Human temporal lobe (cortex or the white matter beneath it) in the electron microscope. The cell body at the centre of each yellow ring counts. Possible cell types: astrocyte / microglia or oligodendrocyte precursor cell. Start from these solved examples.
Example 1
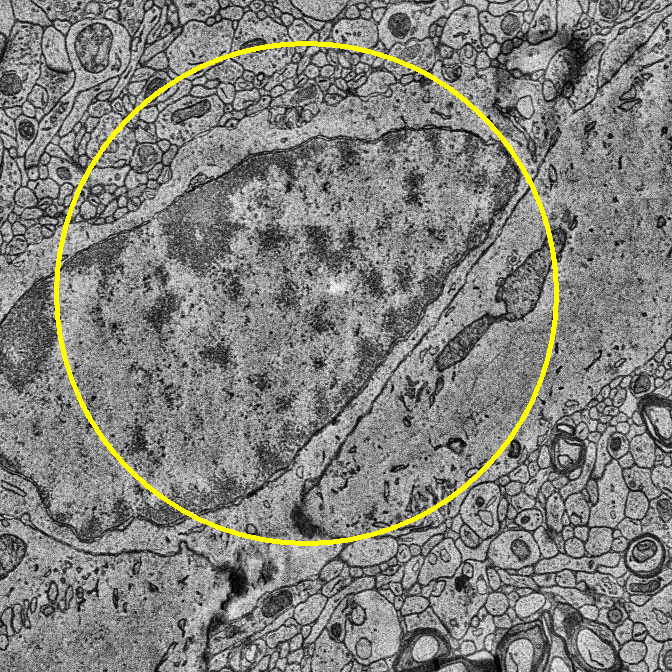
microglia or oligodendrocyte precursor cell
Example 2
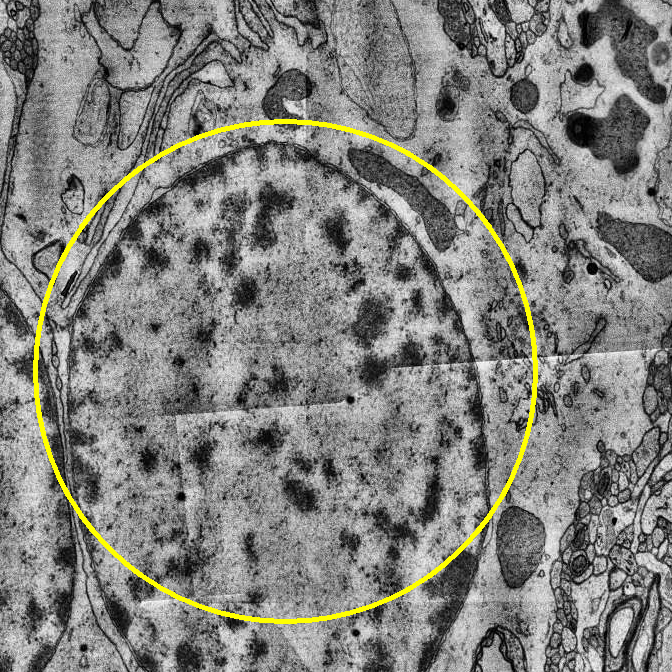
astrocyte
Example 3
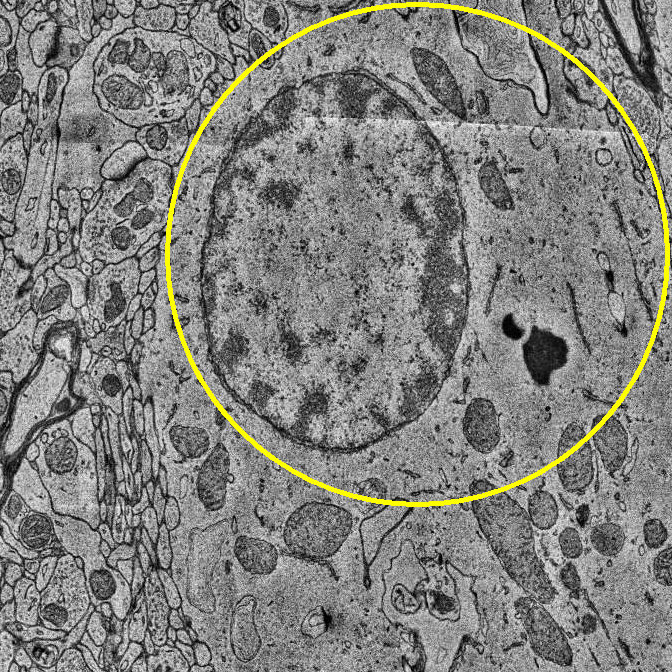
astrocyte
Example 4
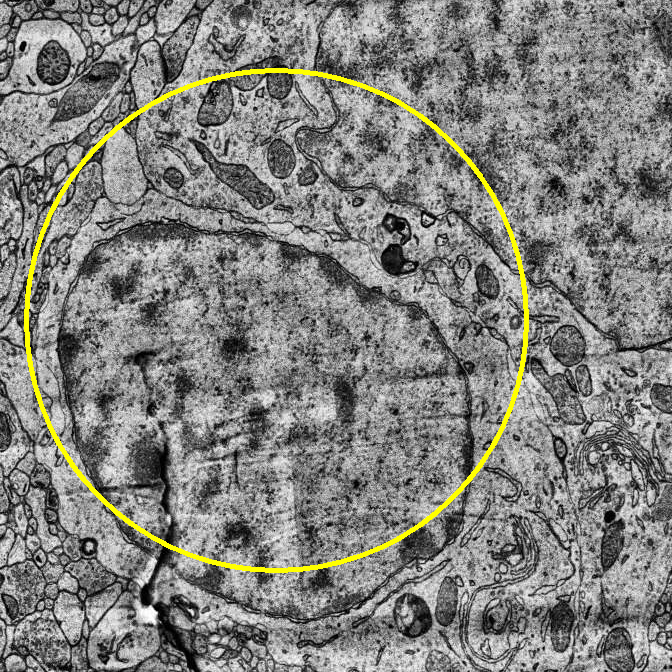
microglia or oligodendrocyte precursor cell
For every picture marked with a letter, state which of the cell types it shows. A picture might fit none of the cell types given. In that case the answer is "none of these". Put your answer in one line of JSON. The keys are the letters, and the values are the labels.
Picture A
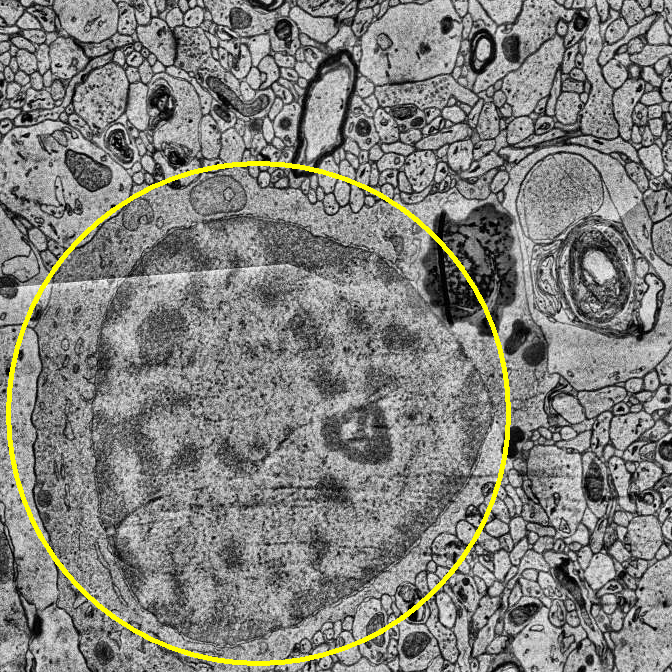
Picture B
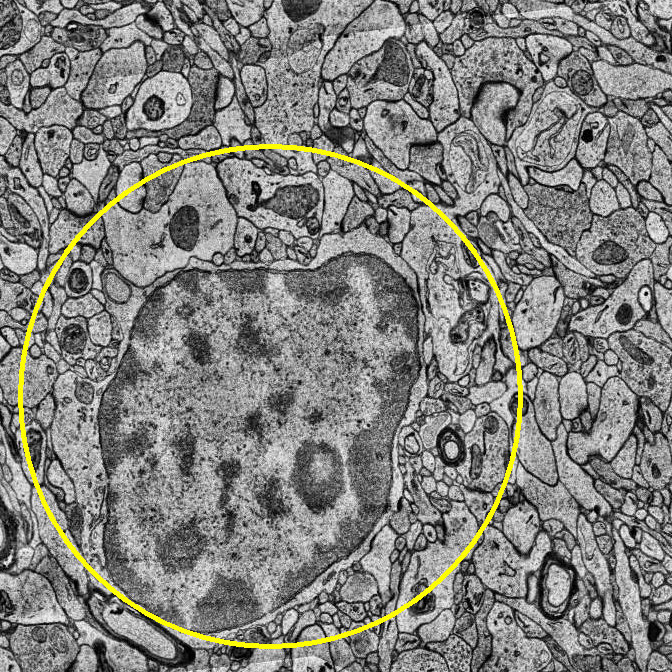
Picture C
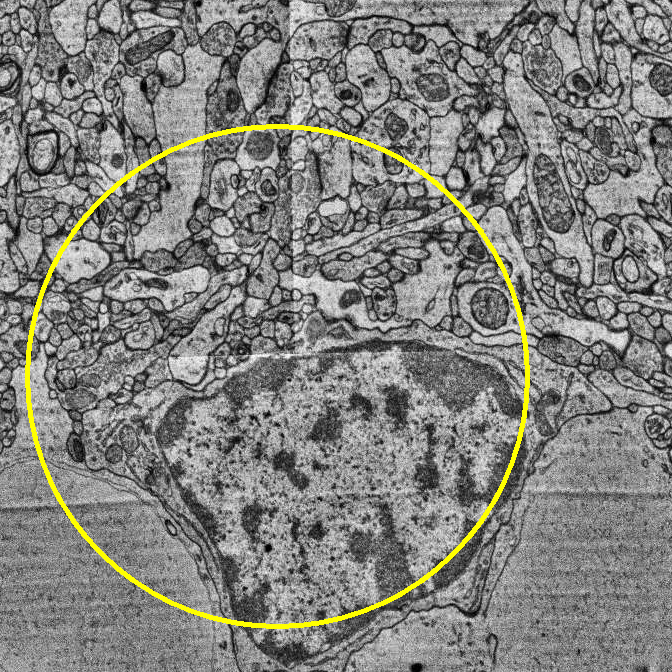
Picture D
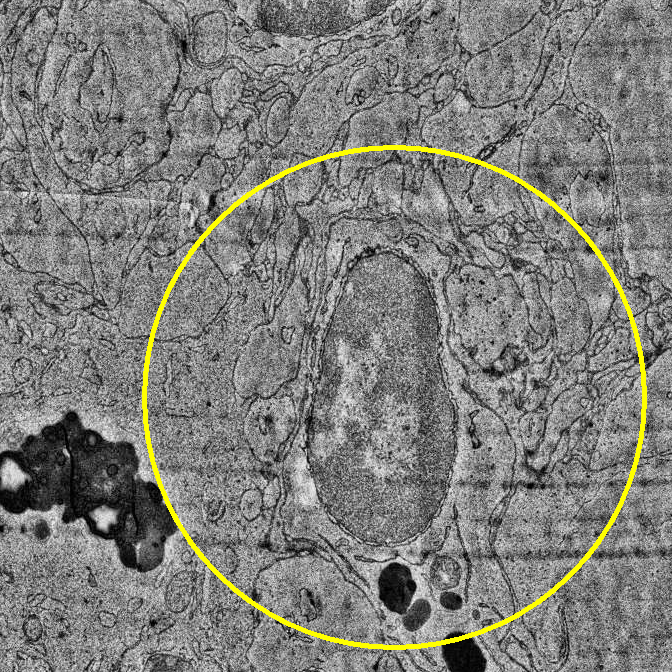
{"A": "none of these", "B": "microglia or oligodendrocyte precursor cell", "C": "microglia or oligodendrocyte precursor cell", "D": "microglia or oligodendrocyte precursor cell"}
